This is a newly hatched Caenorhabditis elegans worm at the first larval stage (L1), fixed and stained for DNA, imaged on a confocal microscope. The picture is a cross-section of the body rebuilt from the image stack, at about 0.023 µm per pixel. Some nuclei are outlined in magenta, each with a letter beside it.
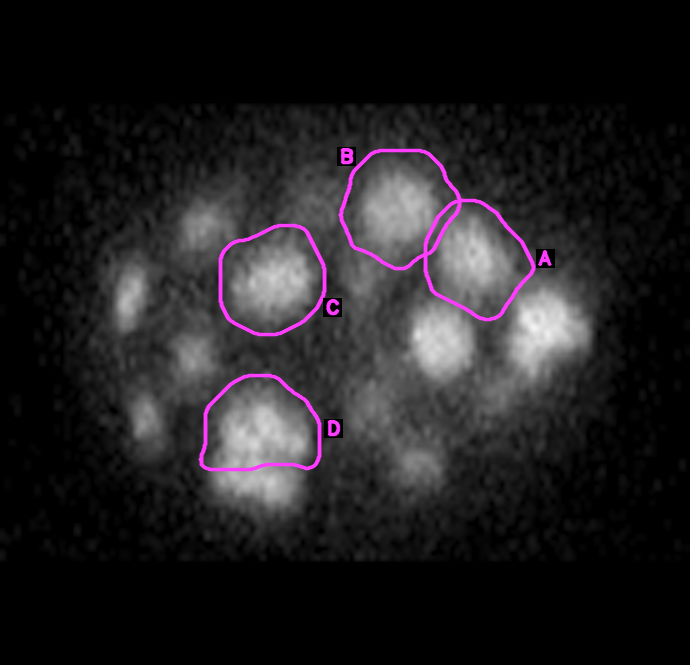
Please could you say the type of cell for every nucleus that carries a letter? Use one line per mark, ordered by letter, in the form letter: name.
A: neuron
B: neuron
C: pharyngeal gland cell
D: pharyngeal gland cell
